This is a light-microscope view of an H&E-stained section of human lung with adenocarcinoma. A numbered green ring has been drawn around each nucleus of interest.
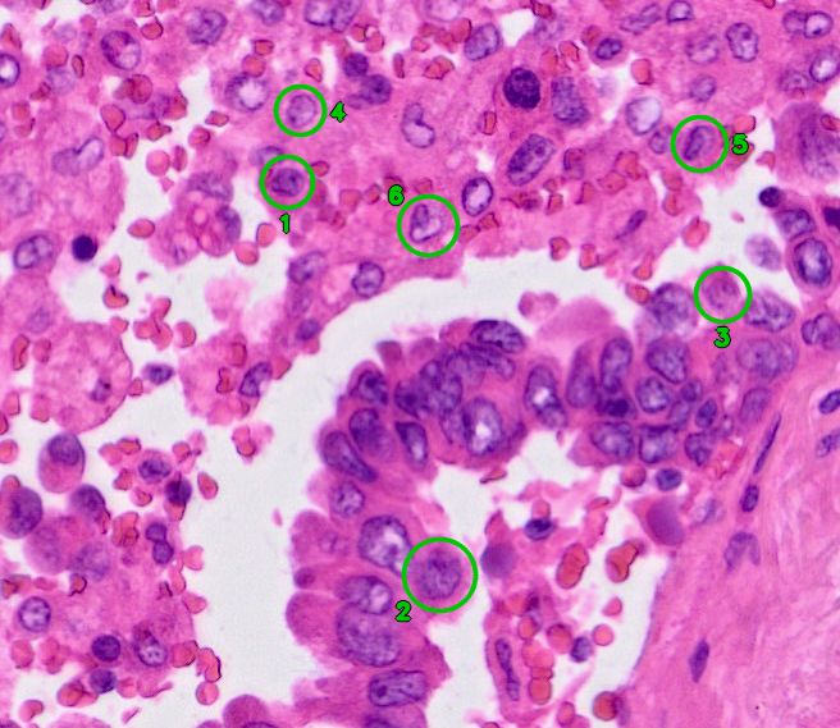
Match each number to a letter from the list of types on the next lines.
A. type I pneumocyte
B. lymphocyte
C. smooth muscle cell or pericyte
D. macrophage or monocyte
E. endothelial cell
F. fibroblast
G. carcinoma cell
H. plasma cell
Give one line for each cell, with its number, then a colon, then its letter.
1: D
2: G
3: G
4: D
5: D
6: D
